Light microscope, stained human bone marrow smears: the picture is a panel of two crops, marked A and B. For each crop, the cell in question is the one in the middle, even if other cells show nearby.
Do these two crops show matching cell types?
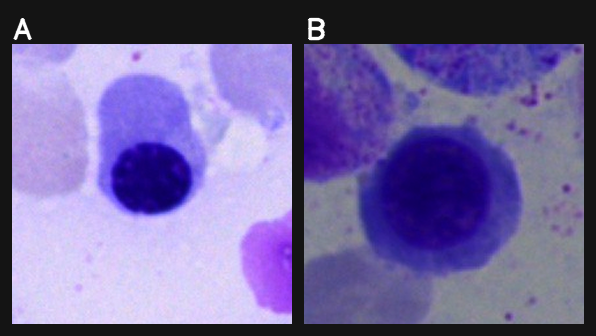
yes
